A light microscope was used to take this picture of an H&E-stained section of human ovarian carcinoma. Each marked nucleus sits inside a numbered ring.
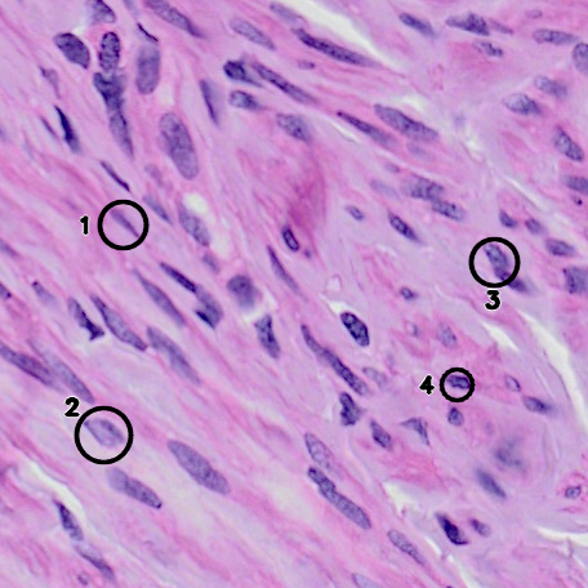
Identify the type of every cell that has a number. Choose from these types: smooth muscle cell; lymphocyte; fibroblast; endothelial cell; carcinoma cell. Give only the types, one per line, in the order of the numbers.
smooth muscle cell
fibroblast
smooth muscle cell
smooth muscle cell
